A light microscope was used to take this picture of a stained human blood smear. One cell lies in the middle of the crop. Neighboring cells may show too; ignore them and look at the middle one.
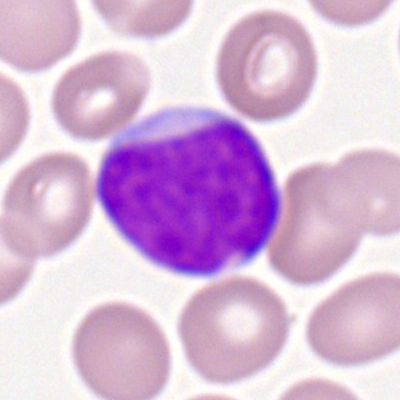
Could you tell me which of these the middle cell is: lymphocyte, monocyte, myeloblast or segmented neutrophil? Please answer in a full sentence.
The cell at the central position in this crop is a myeloblast.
